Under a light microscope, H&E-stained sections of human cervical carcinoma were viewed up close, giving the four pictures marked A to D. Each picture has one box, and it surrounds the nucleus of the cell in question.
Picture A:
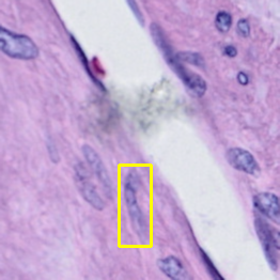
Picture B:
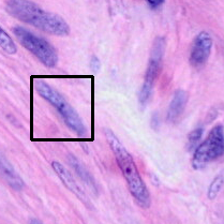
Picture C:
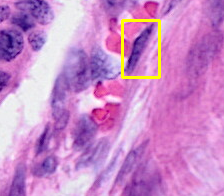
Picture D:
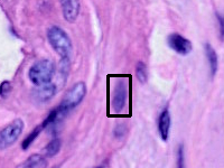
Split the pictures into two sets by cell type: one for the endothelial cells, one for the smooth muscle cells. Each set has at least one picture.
A: smooth muscle cell
B: smooth muscle cell
C: endothelial cell
D: smooth muscle cell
